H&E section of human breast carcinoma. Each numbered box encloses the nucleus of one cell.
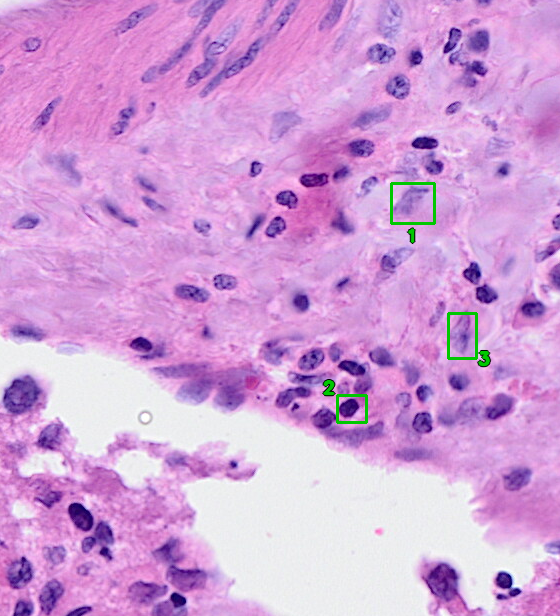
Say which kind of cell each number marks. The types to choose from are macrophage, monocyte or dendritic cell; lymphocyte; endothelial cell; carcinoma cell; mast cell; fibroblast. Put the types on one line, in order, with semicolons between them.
fibroblast; lymphocyte; fibroblast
